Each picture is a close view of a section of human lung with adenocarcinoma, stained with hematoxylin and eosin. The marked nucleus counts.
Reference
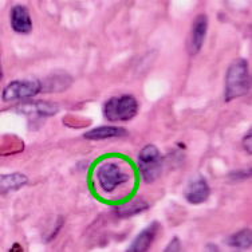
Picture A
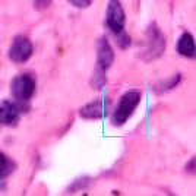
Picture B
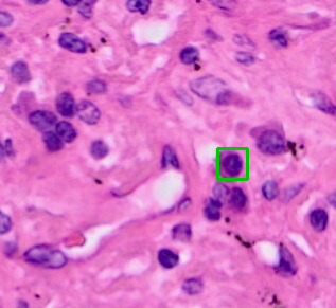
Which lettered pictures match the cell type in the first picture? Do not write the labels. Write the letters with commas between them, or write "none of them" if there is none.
A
